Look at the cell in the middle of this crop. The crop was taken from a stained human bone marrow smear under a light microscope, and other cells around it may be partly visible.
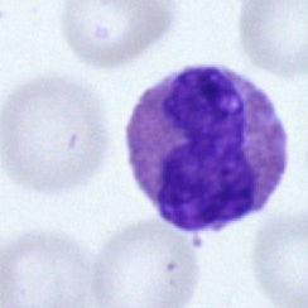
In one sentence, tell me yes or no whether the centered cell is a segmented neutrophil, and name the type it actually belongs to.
No, the one in the center is not a segmented neutrophil; it is an eosinophil.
